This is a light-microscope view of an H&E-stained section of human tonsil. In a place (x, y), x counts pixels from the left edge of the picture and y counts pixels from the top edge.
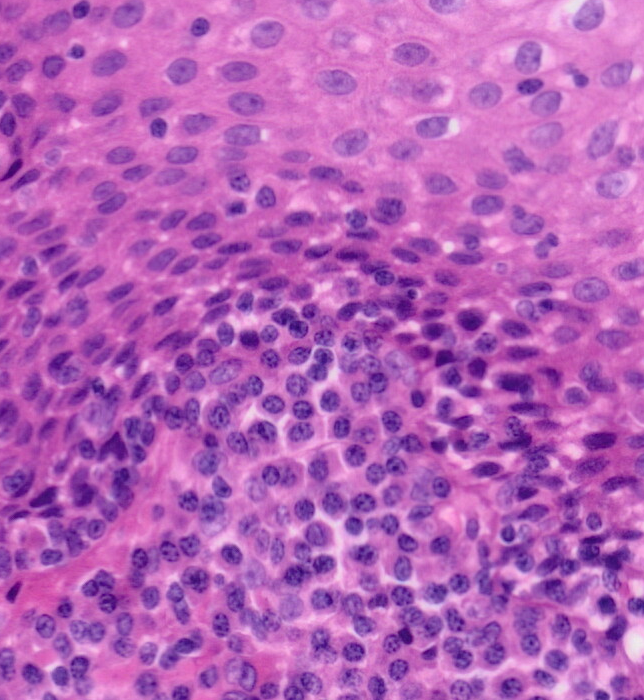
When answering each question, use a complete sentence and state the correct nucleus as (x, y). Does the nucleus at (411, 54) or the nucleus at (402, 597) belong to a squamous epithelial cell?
Identified as belonging to a squamous epithelial cell is the nucleus at (411, 54).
